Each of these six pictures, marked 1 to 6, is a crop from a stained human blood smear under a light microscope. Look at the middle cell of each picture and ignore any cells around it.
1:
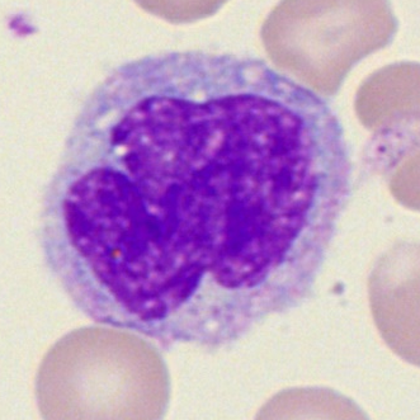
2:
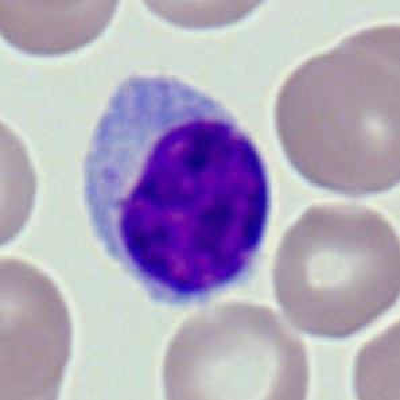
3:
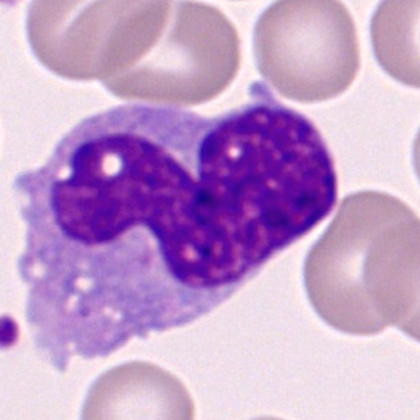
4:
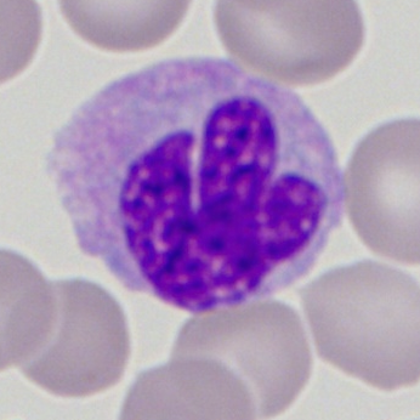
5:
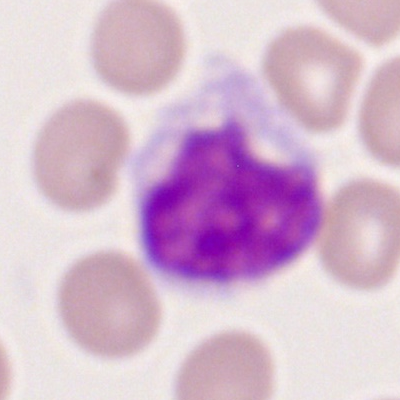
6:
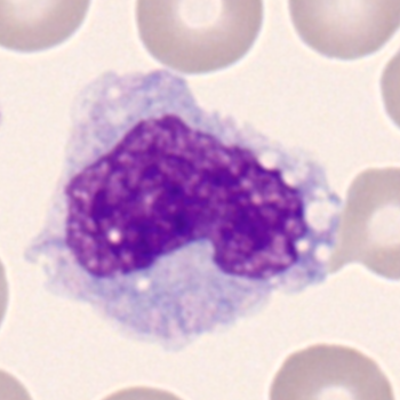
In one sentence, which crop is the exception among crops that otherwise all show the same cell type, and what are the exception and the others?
The different one is crop 2, which is a lymphocyte; the rest all show monocytes.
